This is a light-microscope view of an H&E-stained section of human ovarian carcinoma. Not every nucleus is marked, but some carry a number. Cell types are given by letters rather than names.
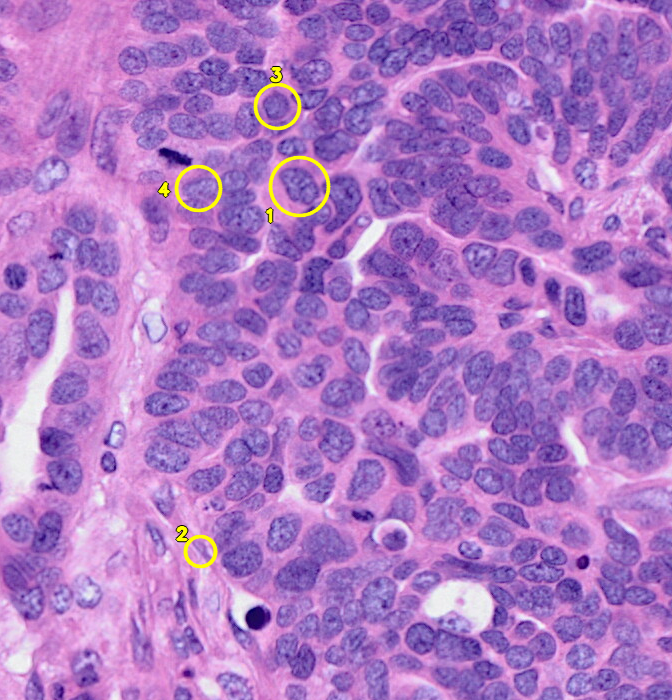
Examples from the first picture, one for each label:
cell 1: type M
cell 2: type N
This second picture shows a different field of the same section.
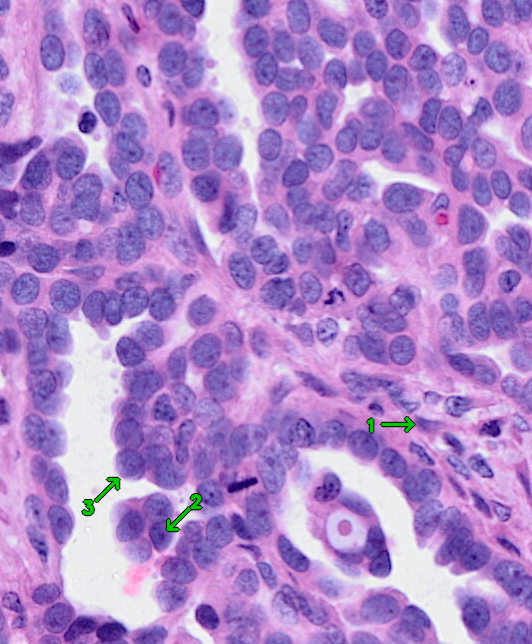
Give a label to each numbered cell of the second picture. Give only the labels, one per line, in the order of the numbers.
type N
type M
type M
